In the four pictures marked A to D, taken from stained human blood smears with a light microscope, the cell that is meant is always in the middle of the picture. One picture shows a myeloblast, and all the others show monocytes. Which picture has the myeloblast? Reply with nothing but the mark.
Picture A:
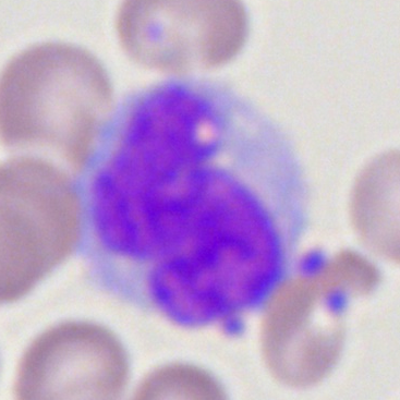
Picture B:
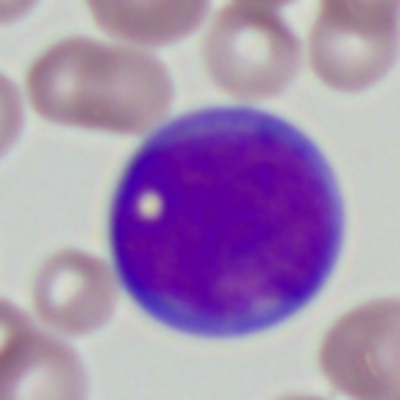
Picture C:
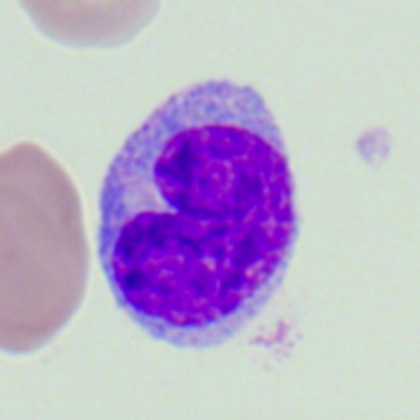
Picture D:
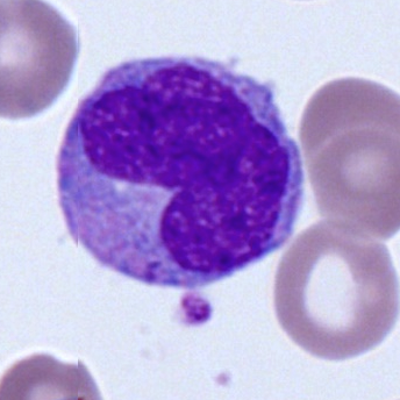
B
